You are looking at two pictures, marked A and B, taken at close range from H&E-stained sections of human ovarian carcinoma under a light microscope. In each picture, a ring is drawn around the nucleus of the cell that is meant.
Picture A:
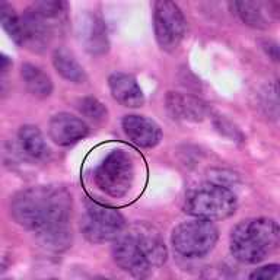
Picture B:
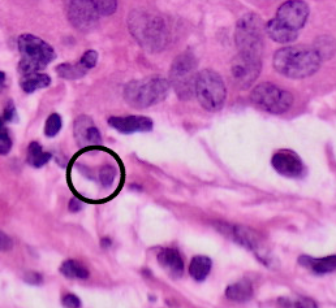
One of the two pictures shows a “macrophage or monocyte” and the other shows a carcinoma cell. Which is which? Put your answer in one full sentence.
Picture B shows a “macrophage or monocyte”, while picture A shows a carcinoma cell.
